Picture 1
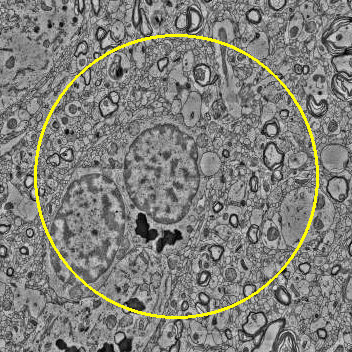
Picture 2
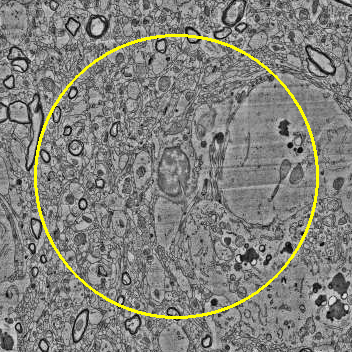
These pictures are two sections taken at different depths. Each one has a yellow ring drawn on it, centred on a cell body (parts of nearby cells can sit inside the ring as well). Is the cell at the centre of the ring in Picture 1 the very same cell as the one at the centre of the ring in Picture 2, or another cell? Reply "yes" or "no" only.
no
